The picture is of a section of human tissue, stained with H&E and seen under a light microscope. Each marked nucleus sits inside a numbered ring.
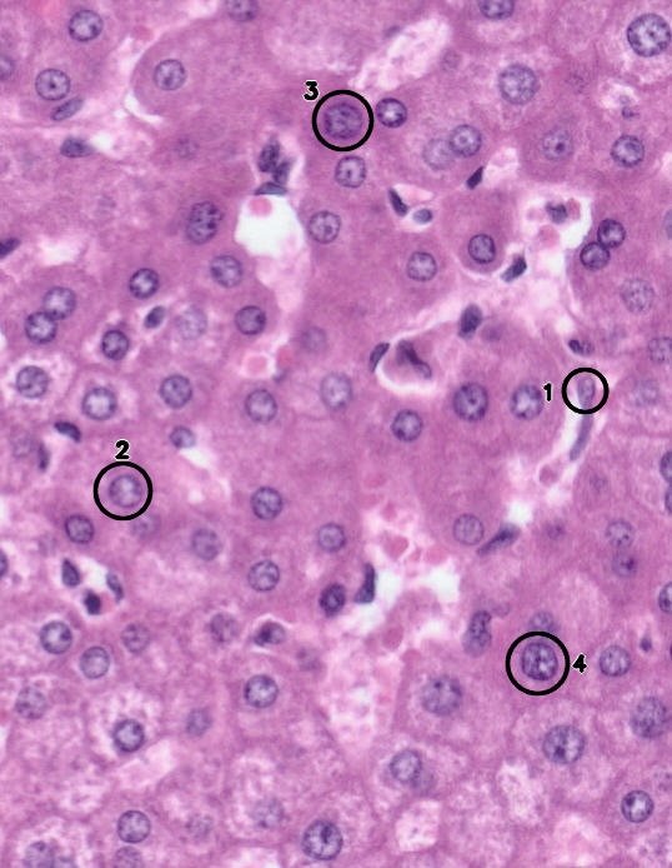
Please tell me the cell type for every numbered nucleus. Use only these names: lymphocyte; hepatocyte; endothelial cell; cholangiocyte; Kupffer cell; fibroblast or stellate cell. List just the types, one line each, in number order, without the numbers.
Kupffer cell
hepatocyte
hepatocyte
hepatocyte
